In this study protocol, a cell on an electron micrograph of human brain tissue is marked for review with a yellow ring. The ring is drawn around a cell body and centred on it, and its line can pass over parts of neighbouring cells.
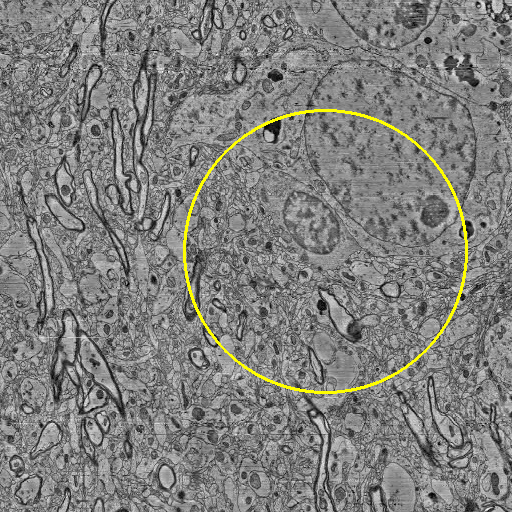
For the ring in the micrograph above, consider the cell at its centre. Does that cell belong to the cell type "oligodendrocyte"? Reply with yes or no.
yes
